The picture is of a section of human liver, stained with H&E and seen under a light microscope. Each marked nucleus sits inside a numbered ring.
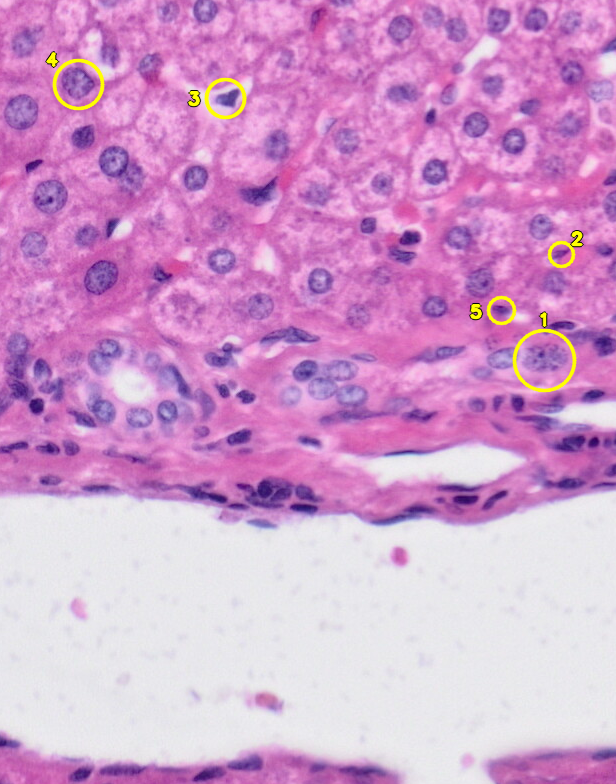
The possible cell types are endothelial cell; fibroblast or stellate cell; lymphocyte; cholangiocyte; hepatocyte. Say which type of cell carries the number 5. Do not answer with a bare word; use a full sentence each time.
As for number 5, that cell is a fibroblast or stellate cell.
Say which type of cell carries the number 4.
The mark numbered 4 indicates the nucleus of a hepatocyte.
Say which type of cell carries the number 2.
The one numbered 2 among the marked cells is an endothelial cell.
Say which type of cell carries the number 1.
The cell referred to as 1 is a cholangiocyte.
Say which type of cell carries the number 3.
The cell that carries the label 3 is a lymphocyte.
